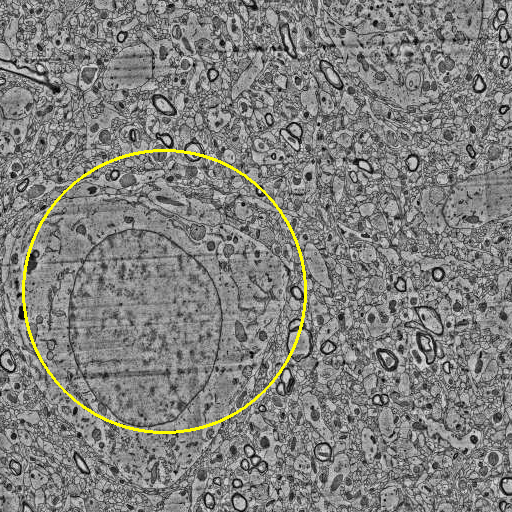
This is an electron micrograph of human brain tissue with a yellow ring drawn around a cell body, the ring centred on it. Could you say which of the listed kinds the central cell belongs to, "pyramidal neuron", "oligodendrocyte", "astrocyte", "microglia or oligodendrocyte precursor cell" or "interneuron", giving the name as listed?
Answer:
pyramidal neuron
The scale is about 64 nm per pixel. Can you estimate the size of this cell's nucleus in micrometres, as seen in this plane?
In this plane, approximately 13 by 10 micrometers.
